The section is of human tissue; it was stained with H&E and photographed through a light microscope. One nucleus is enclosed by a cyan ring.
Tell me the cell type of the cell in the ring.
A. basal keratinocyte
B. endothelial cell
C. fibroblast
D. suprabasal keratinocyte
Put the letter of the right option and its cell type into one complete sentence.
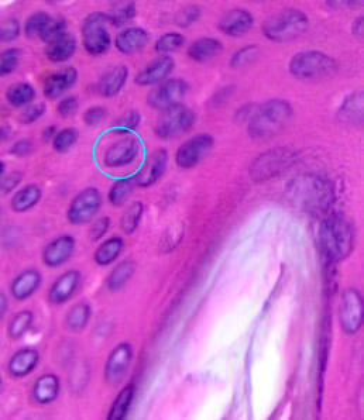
Right answer, option D: the cell in the ring is a suprabasal keratinocyte.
